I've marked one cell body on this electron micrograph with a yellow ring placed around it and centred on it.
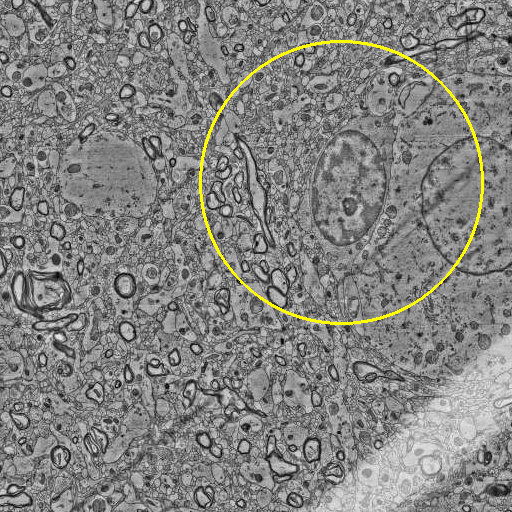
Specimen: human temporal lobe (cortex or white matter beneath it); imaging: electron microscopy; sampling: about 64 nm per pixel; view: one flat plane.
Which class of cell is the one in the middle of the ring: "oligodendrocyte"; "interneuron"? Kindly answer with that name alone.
oligodendrocyte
